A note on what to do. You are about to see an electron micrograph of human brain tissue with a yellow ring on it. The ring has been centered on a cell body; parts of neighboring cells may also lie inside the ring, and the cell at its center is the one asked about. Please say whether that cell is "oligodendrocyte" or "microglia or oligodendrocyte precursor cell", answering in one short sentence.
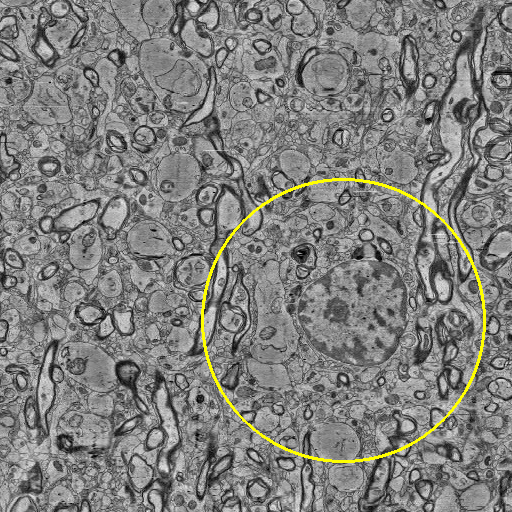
The yellow ring sits on a microglial cell or oligodendrocyte precursor cell.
